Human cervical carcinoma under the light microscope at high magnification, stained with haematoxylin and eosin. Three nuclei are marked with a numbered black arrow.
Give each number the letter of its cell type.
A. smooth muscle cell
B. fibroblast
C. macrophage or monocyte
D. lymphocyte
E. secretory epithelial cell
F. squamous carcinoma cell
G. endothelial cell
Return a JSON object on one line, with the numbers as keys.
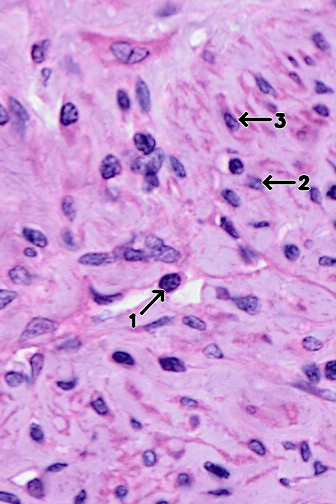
{"1": "D", "2": "A", "3": "A"}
